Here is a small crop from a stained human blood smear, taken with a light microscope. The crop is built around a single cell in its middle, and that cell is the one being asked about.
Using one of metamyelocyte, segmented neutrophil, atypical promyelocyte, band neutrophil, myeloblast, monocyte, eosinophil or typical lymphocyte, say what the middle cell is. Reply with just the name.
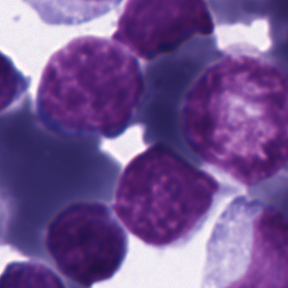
myeloblast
